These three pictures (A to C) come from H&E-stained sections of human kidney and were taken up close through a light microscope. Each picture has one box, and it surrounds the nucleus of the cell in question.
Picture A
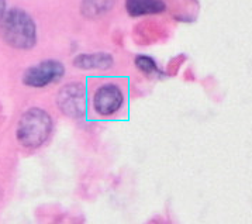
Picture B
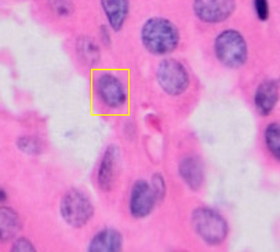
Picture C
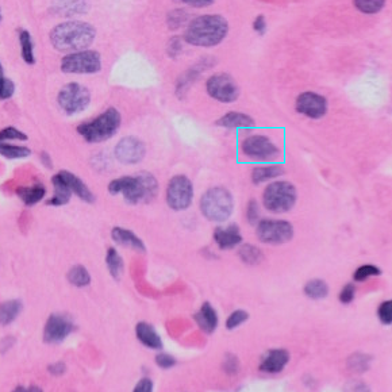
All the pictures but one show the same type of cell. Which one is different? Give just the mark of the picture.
C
